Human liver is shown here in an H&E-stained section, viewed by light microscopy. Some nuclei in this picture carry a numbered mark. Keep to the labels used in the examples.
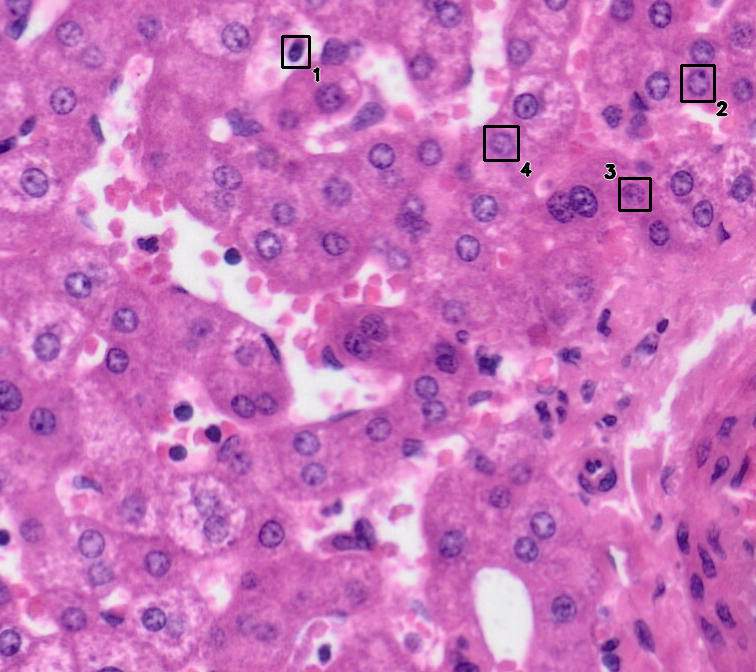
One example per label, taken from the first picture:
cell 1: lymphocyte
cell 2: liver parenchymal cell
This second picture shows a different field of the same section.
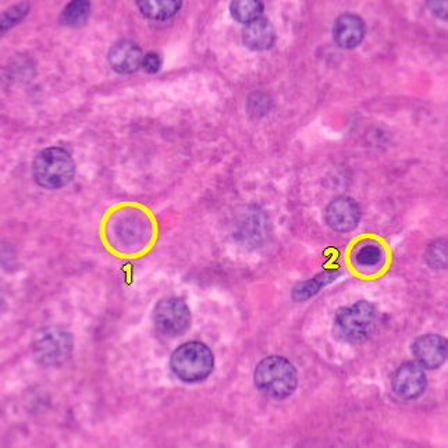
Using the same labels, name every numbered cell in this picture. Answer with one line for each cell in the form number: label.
1: liver parenchymal cell
2: lymphocyte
